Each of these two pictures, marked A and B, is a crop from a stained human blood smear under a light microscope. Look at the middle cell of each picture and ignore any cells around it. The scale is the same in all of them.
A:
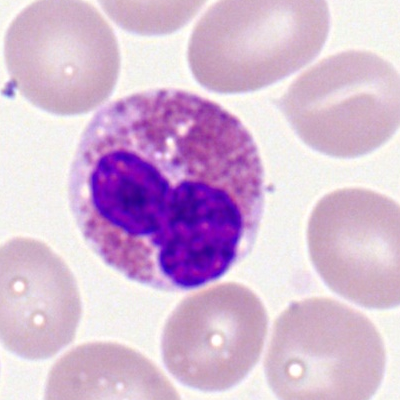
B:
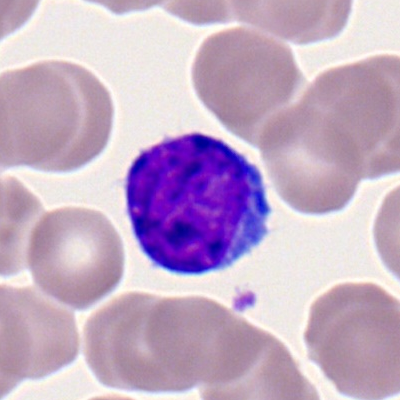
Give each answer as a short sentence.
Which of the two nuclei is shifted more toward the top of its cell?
The nucleus in crop B lies further toward the top of its cell.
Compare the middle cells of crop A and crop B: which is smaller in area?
Crop B holds the smaller cell, since the cell in crop A covers about 2 times as much area.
